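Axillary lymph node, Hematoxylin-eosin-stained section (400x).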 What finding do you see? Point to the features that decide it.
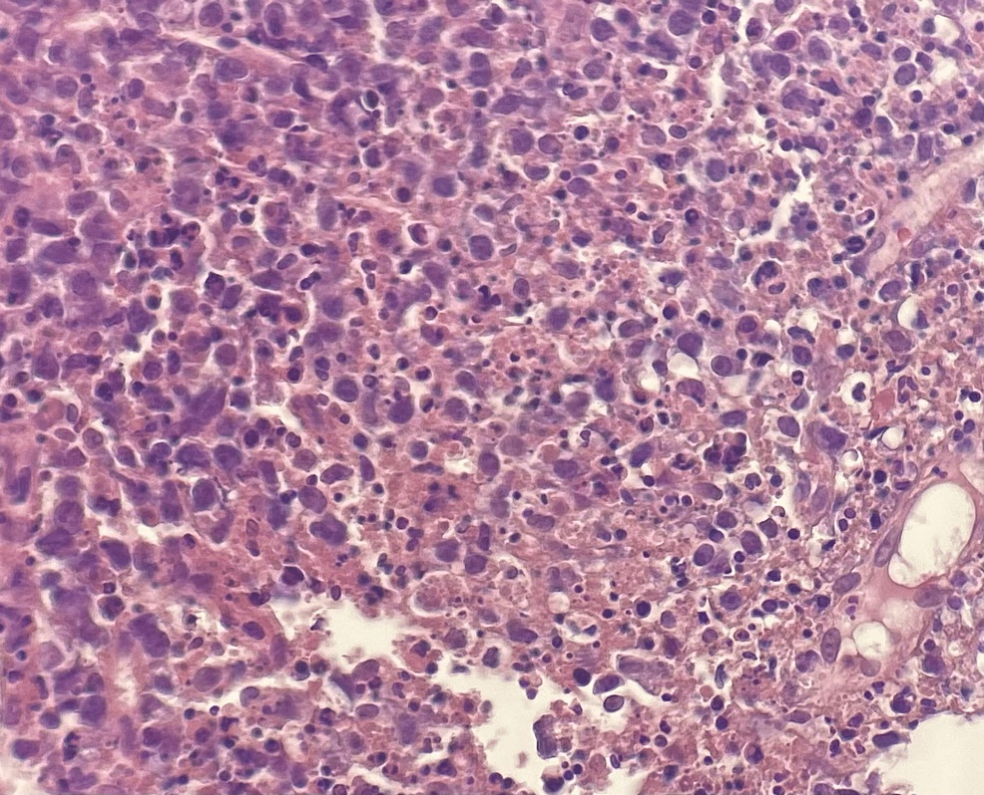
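Many small, dense, dark purple round fragments are scattered among the larger cells. The fragments are much smaller than intact nuclei and lie in a pink granular background. The answer: abundant karyorrhectic debris.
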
